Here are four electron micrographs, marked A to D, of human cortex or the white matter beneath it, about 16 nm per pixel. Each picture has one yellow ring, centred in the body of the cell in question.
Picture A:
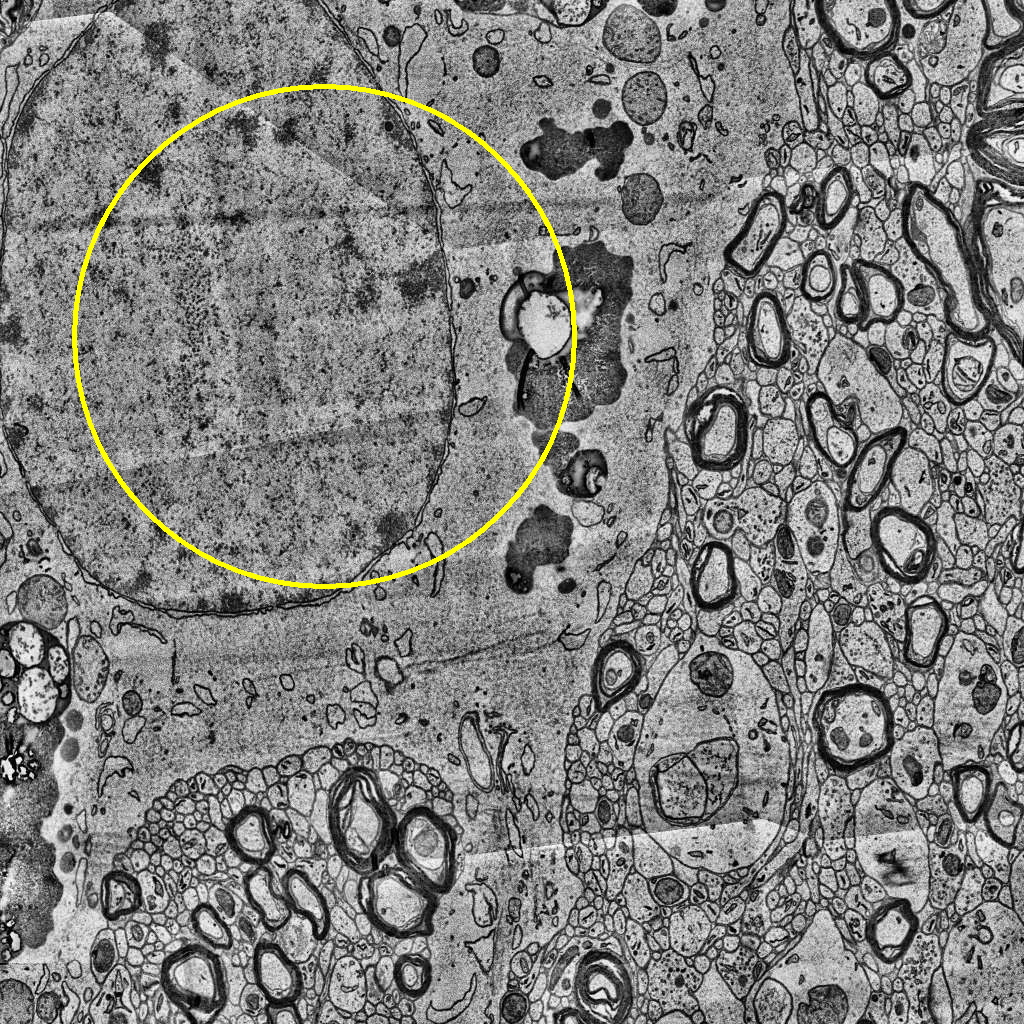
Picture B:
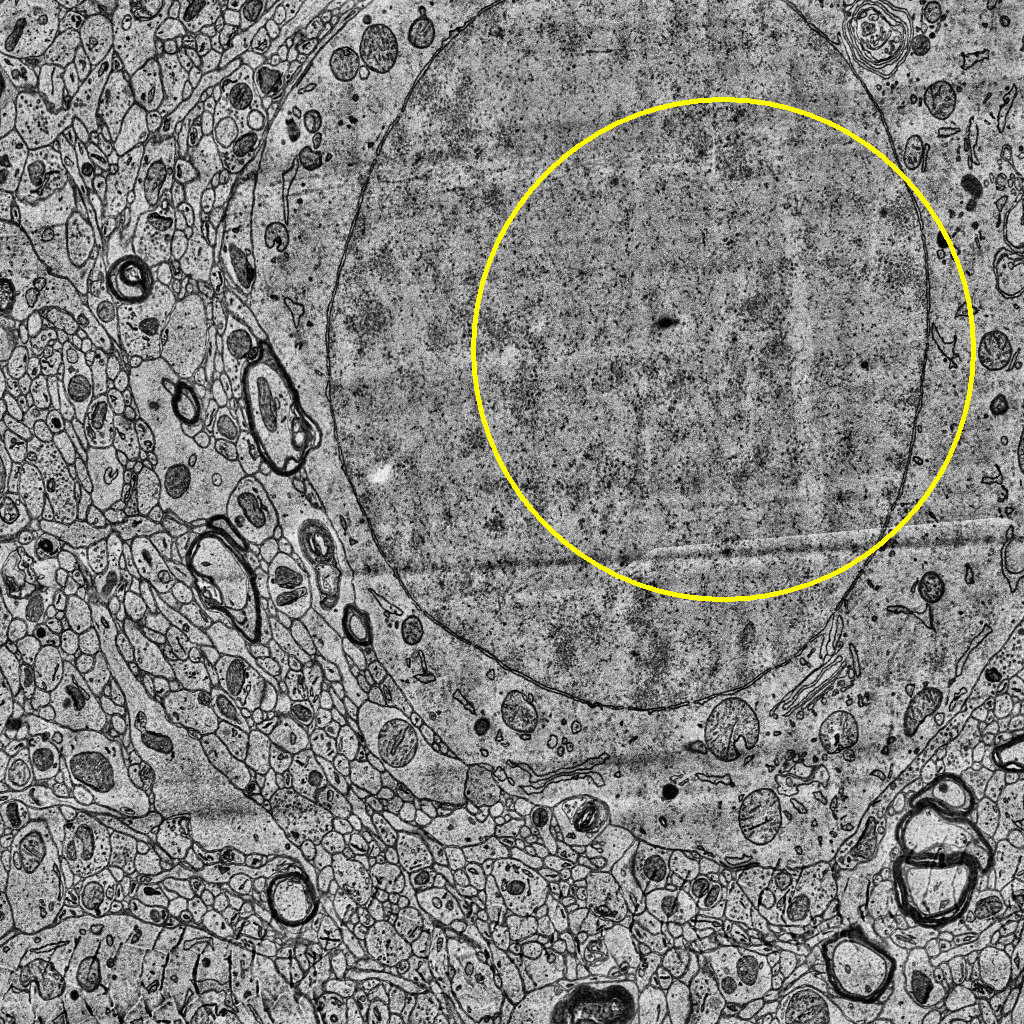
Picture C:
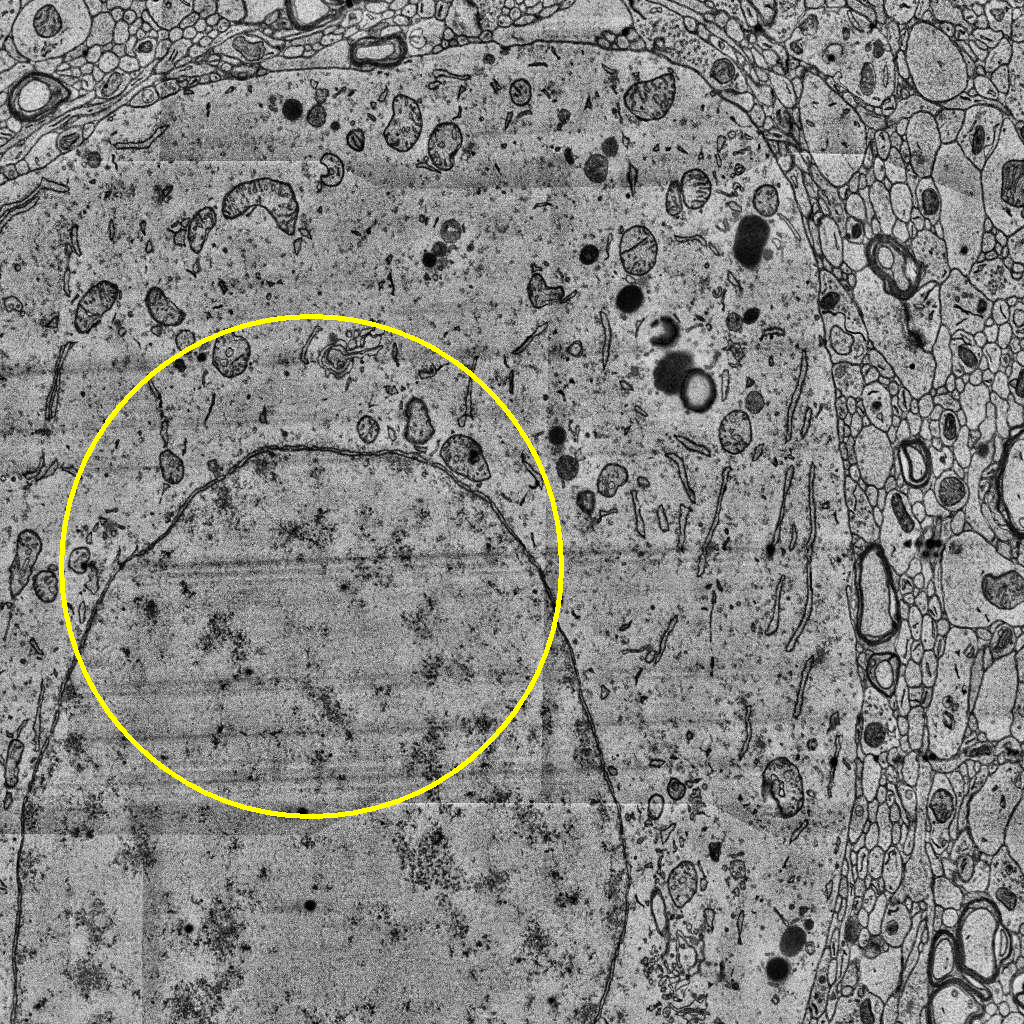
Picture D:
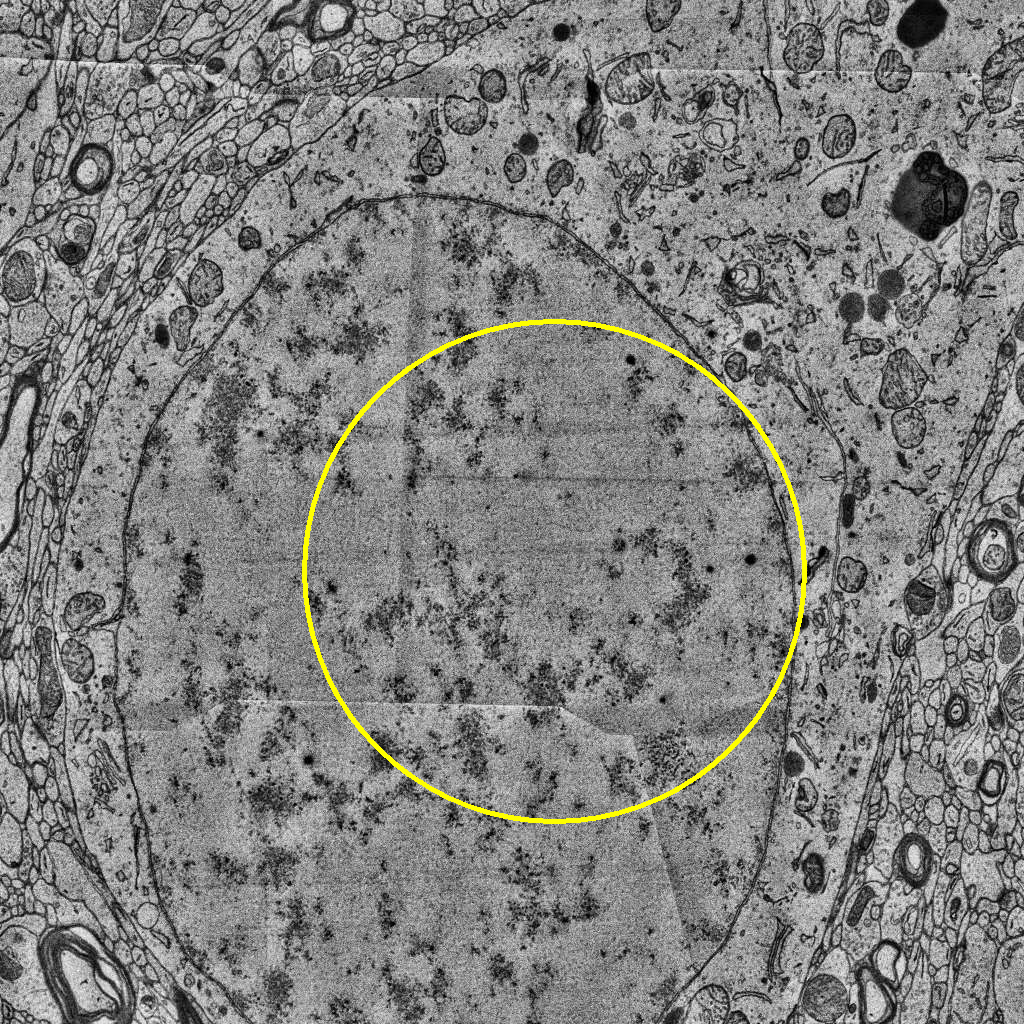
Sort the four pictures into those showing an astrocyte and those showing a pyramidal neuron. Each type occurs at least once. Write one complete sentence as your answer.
Picture A shows an astrocyte, and pictures B, C and D show pyramidal neurons.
